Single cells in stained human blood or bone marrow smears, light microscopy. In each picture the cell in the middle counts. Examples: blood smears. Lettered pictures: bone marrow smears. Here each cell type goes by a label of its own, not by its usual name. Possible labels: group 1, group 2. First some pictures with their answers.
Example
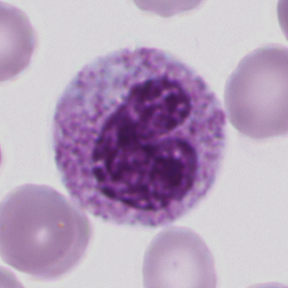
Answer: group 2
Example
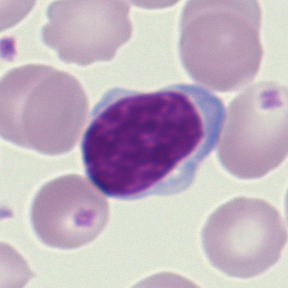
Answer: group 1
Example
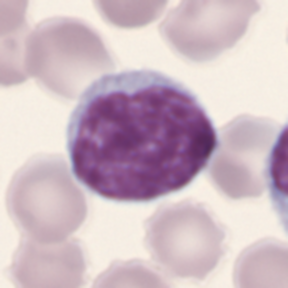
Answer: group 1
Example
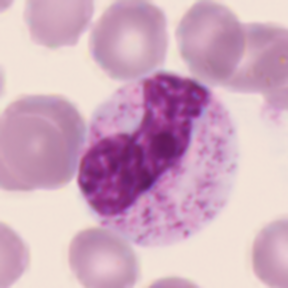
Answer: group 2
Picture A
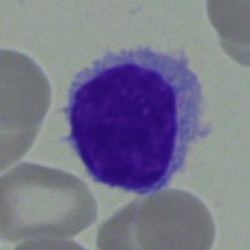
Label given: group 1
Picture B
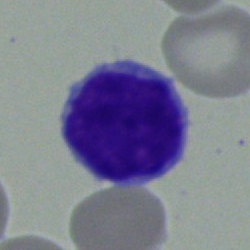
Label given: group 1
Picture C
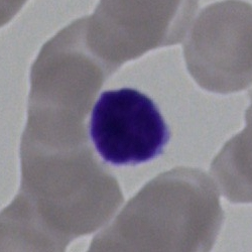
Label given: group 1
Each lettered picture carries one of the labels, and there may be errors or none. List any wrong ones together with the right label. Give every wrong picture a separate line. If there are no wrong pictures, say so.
All labels are correct.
